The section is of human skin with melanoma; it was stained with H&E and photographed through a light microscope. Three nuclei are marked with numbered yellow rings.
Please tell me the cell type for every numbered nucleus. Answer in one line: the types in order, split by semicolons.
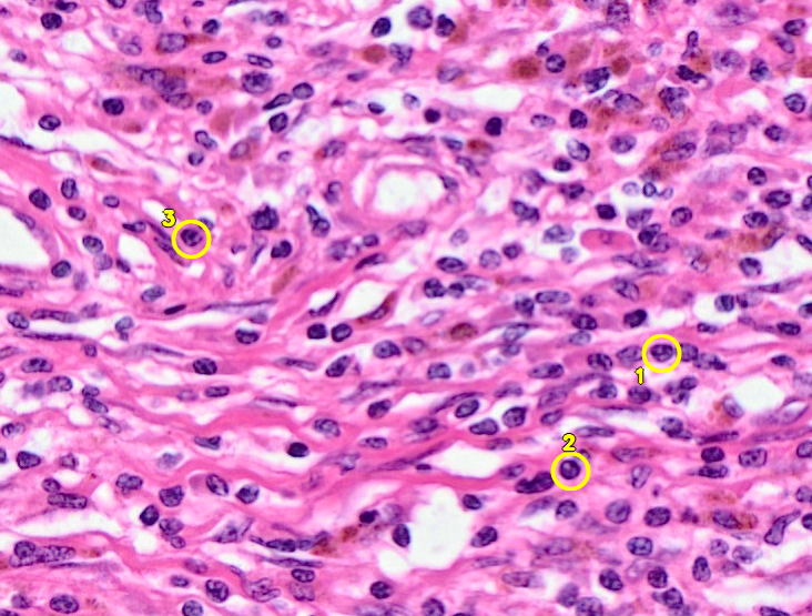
lymphocyte; lymphocyte; plasma cell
